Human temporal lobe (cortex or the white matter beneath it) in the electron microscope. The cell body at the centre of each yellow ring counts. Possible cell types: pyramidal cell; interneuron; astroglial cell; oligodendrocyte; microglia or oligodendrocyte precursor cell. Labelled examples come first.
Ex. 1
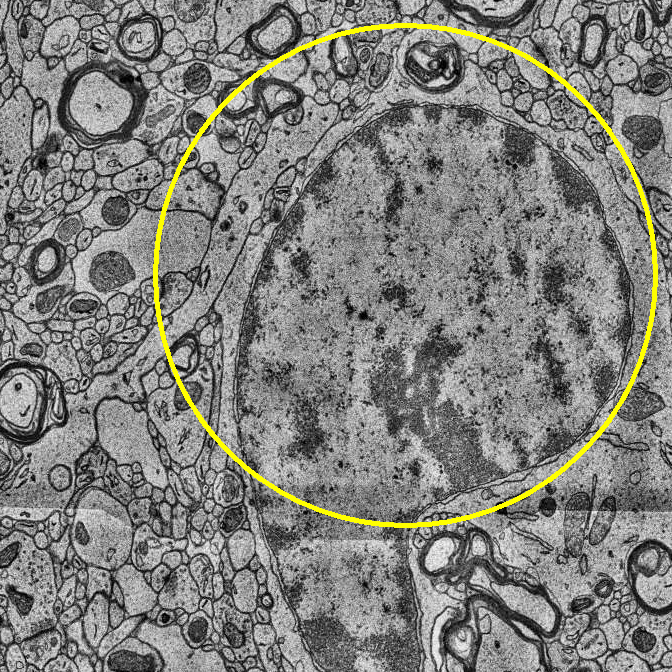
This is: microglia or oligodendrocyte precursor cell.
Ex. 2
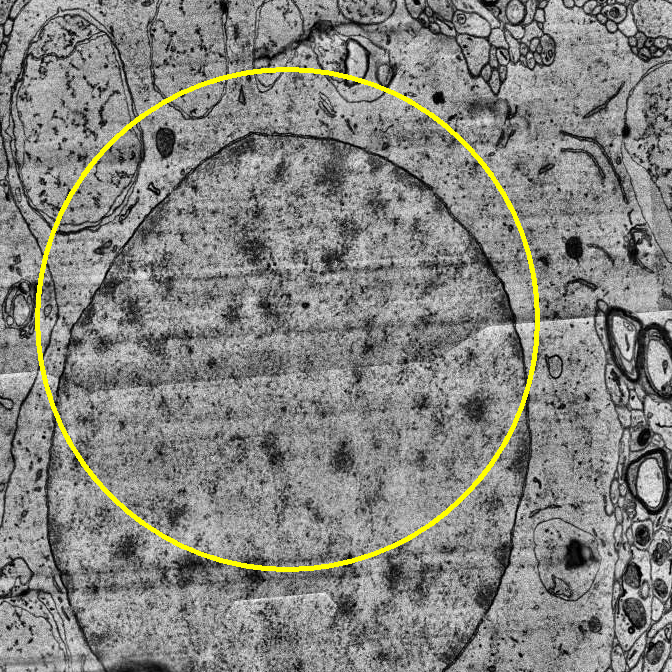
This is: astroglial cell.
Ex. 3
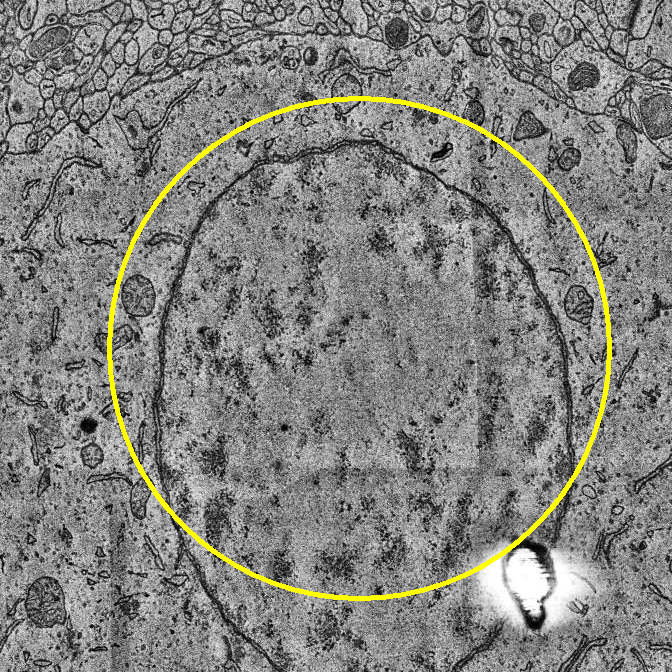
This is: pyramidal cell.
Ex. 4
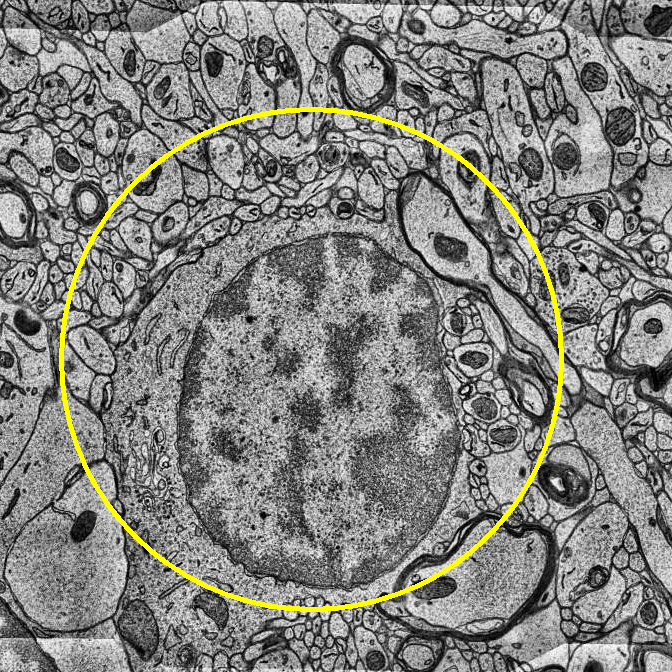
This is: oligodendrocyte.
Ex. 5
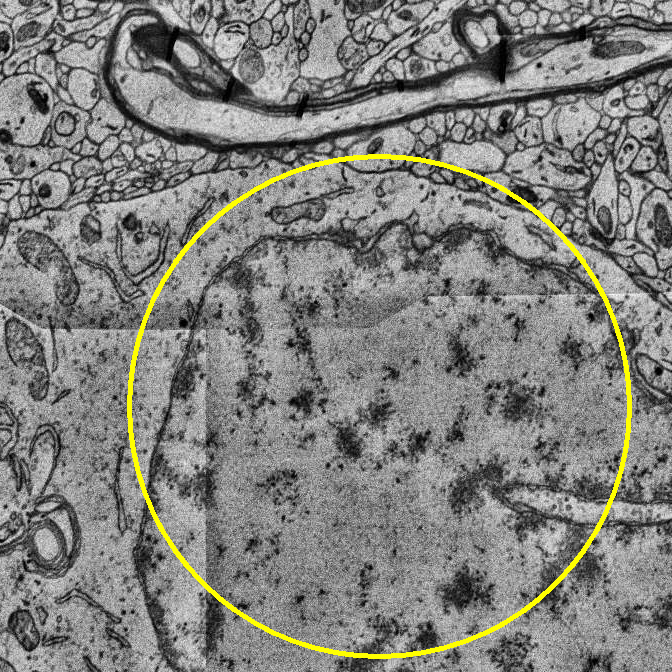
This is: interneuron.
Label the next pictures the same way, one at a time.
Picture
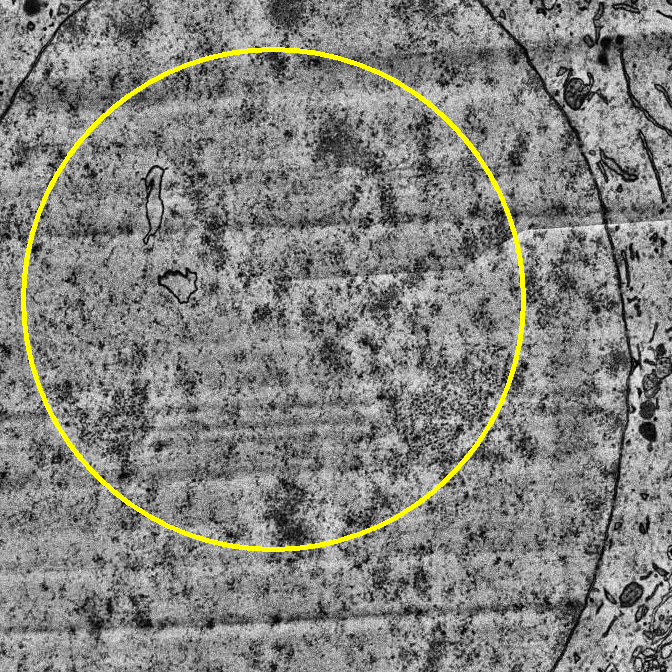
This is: pyramidal cell.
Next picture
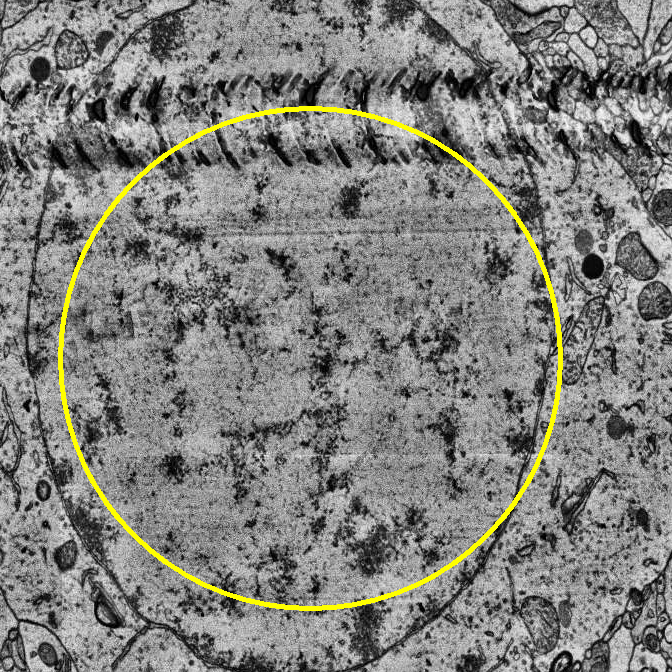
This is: pyramidal cell.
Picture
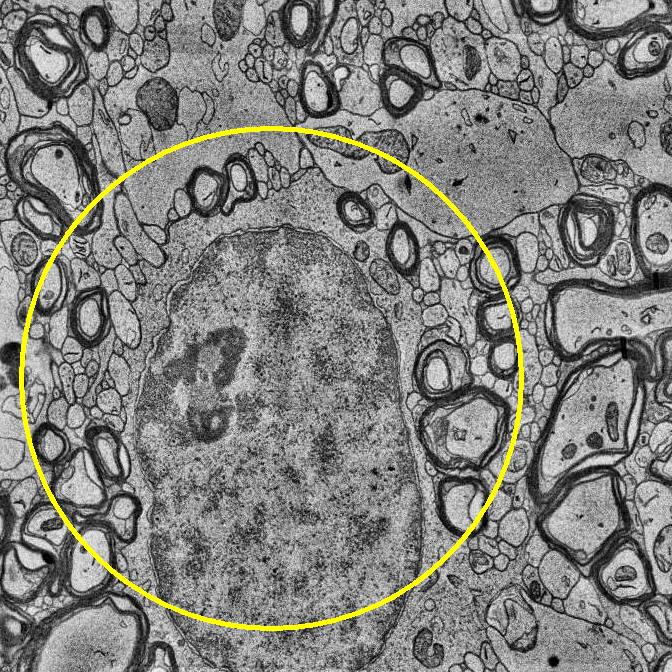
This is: oligodendrocyte.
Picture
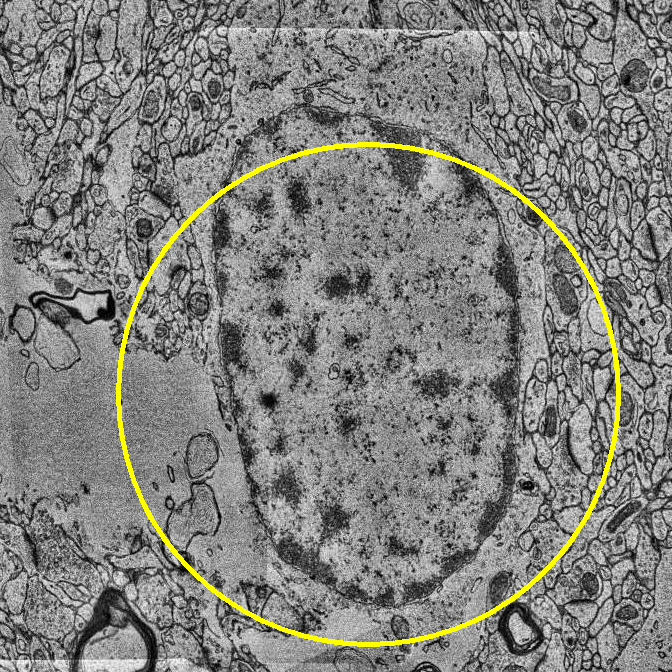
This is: microglia or oligodendrocyte precursor cell.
